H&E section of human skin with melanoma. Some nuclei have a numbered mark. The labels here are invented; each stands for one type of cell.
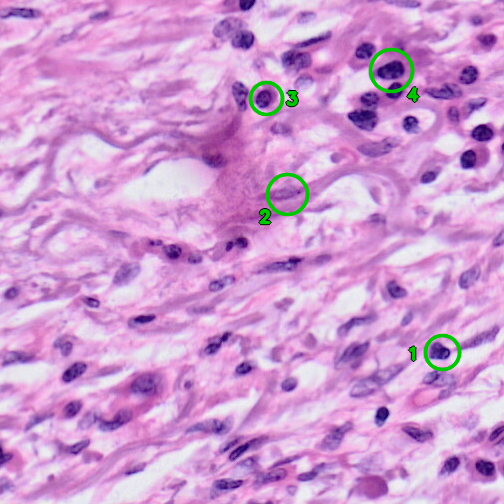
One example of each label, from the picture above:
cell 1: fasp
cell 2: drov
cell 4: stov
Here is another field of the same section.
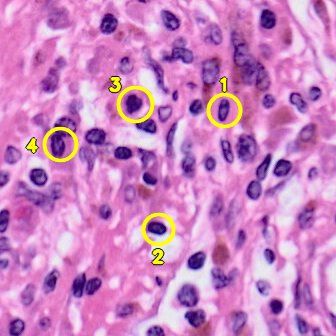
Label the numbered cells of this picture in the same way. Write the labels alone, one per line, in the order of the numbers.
fasp
fasp
stov
stov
